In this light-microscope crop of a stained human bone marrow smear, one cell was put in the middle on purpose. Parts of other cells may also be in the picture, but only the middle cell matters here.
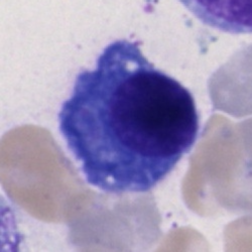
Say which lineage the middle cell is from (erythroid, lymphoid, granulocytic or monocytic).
lymphoid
